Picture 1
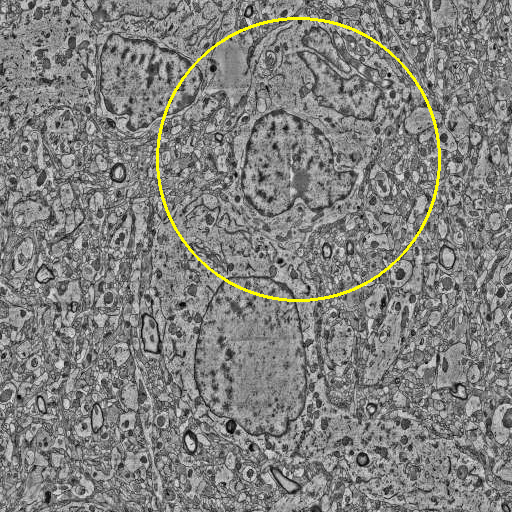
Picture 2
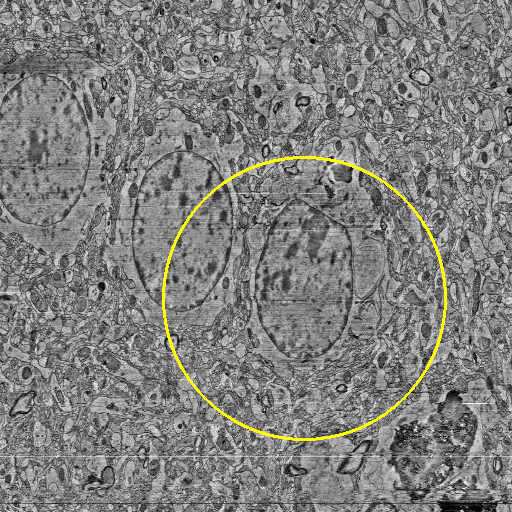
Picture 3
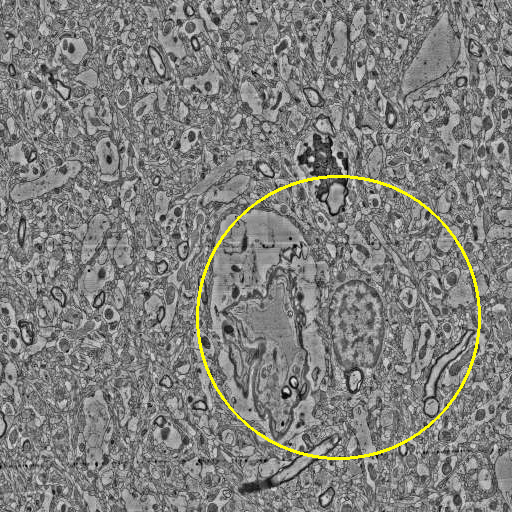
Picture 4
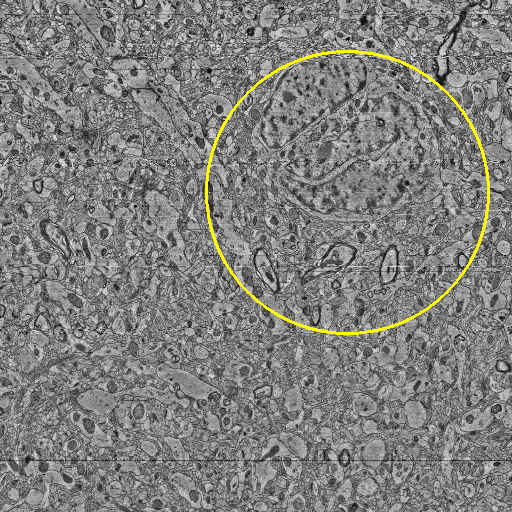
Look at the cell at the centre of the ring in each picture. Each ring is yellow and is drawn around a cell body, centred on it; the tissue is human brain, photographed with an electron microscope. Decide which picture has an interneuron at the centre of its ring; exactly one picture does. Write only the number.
4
